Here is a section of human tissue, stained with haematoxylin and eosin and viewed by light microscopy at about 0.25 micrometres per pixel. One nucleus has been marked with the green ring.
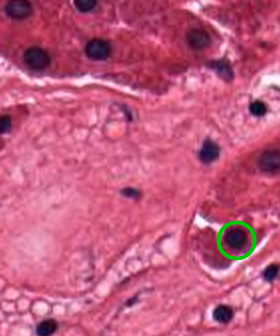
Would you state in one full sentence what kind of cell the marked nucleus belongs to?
The marked nucleus is a nucleus of a proximal tubule cell.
